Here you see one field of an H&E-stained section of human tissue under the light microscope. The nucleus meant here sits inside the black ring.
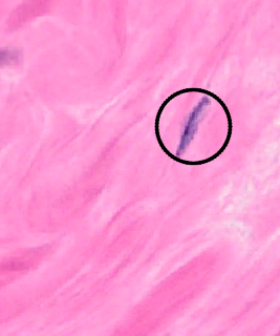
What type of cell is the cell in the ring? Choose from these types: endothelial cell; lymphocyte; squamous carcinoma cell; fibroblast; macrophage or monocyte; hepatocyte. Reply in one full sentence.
Speaking plainly, the cell in the ring is nothing other than a fibroblast.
